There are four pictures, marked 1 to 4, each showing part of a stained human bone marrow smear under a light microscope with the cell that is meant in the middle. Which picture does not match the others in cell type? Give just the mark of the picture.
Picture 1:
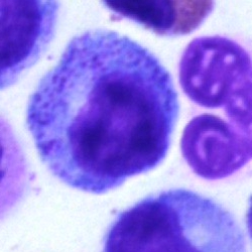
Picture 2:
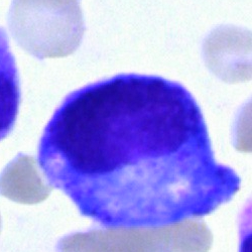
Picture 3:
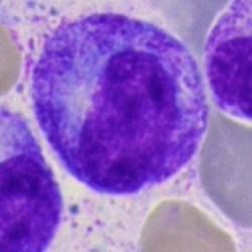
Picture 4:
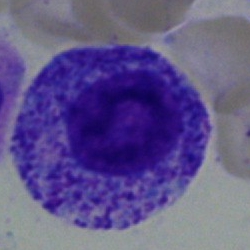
4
